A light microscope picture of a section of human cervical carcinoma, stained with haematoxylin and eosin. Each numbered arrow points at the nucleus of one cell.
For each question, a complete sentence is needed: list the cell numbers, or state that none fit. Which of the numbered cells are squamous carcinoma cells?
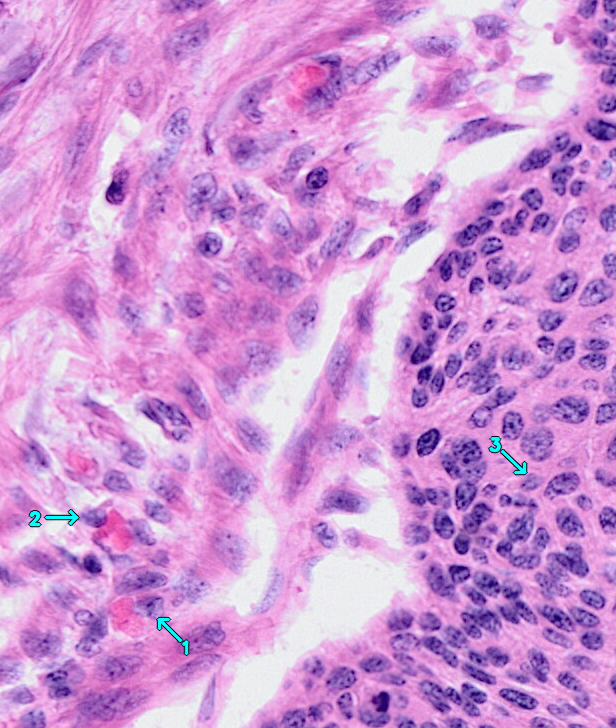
Cell 3 is a squamous carcinoma cell, and this holds for no other numbered cell.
